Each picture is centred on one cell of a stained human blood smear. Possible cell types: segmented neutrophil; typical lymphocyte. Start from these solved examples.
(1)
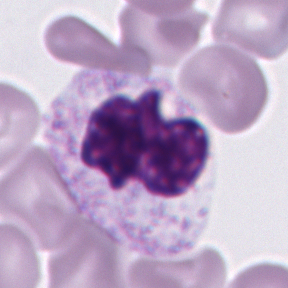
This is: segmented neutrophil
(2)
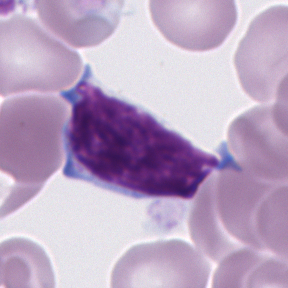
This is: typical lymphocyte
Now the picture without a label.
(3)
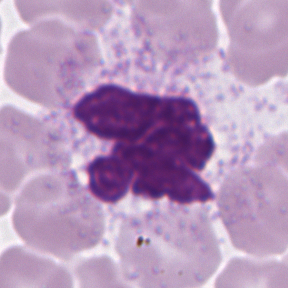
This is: segmented neutrophil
